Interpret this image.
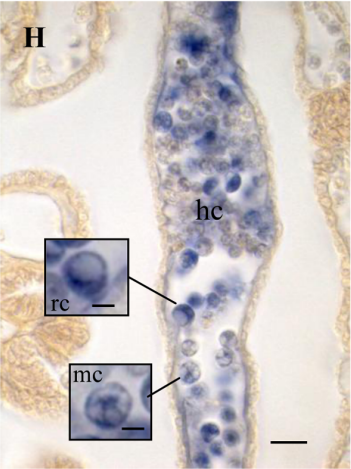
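The vessel is bounded by a thin, pale tan wall, and neighbouring vessels with similar thin walls lie on either side. In the upper part of the lumen the hemocytes are packed into a dense cluster, many of them rounded and stained blue to purple. Lower down the cells lie more loosely, so single rounded blood cells can be made out one by one. The enlarged insets show one cell with a single large clear vacuole pushing its stained content to a rim like a signet ring, and another cell whose body is divided into several rounded compartments like a morula.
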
